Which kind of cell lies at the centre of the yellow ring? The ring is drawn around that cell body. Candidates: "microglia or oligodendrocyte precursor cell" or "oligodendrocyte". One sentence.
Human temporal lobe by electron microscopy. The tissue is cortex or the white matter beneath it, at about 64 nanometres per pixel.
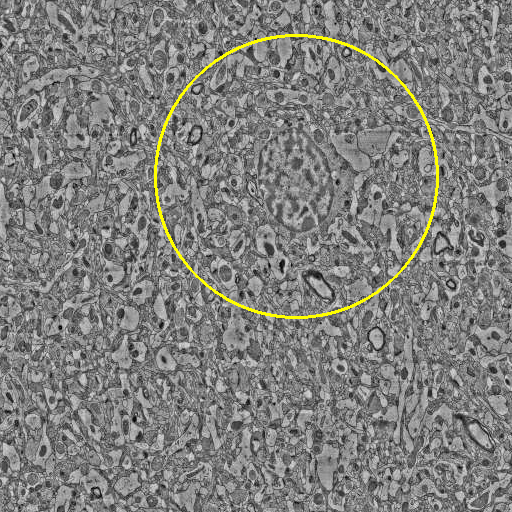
Lying at the centre of the ring is an oligodendrocyte.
